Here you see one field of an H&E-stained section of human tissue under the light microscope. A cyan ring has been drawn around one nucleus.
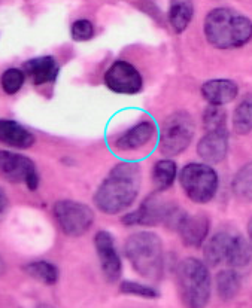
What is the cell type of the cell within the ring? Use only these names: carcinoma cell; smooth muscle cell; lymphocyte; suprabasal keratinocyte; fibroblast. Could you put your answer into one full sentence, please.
In short, the cell within the ring on this section is a carcinoma cell.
